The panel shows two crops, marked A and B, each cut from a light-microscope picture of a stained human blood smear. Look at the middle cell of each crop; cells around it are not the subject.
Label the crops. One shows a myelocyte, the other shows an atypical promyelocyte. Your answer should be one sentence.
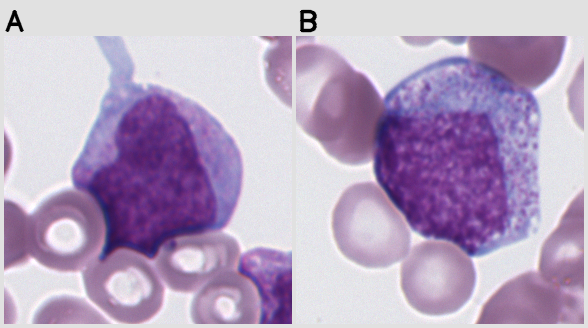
Crop A is labelled an atypical promyelocyte, and crop B is labelled a myelocyte.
